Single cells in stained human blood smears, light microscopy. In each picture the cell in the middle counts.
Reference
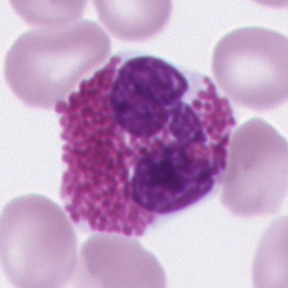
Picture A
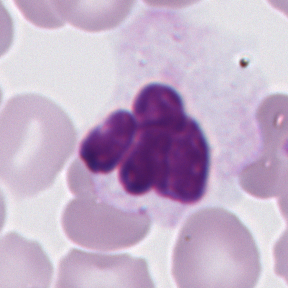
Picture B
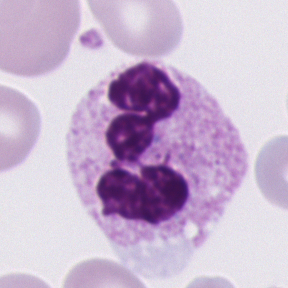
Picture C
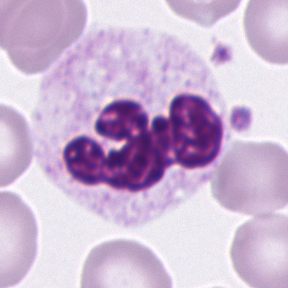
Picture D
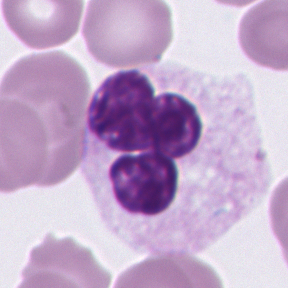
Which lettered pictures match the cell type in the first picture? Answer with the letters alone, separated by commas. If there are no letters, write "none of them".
none of them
